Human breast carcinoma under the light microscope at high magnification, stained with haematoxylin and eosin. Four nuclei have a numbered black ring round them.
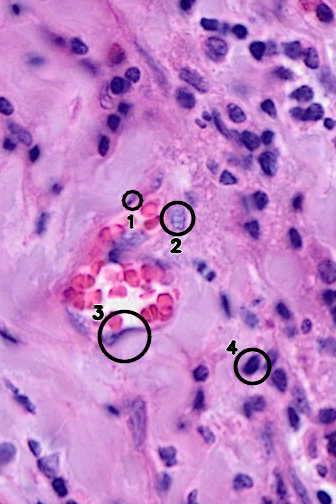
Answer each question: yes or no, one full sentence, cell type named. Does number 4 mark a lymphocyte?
Yes, the cell corresponding to number 4 is a lymphocyte.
